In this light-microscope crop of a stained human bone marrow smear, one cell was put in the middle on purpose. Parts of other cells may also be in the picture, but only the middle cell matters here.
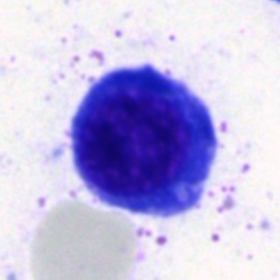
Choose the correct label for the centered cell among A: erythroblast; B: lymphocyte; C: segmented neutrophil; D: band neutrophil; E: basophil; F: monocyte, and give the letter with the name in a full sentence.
It is an erythroblast that occupies the centre of the crop, so option A is correct.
